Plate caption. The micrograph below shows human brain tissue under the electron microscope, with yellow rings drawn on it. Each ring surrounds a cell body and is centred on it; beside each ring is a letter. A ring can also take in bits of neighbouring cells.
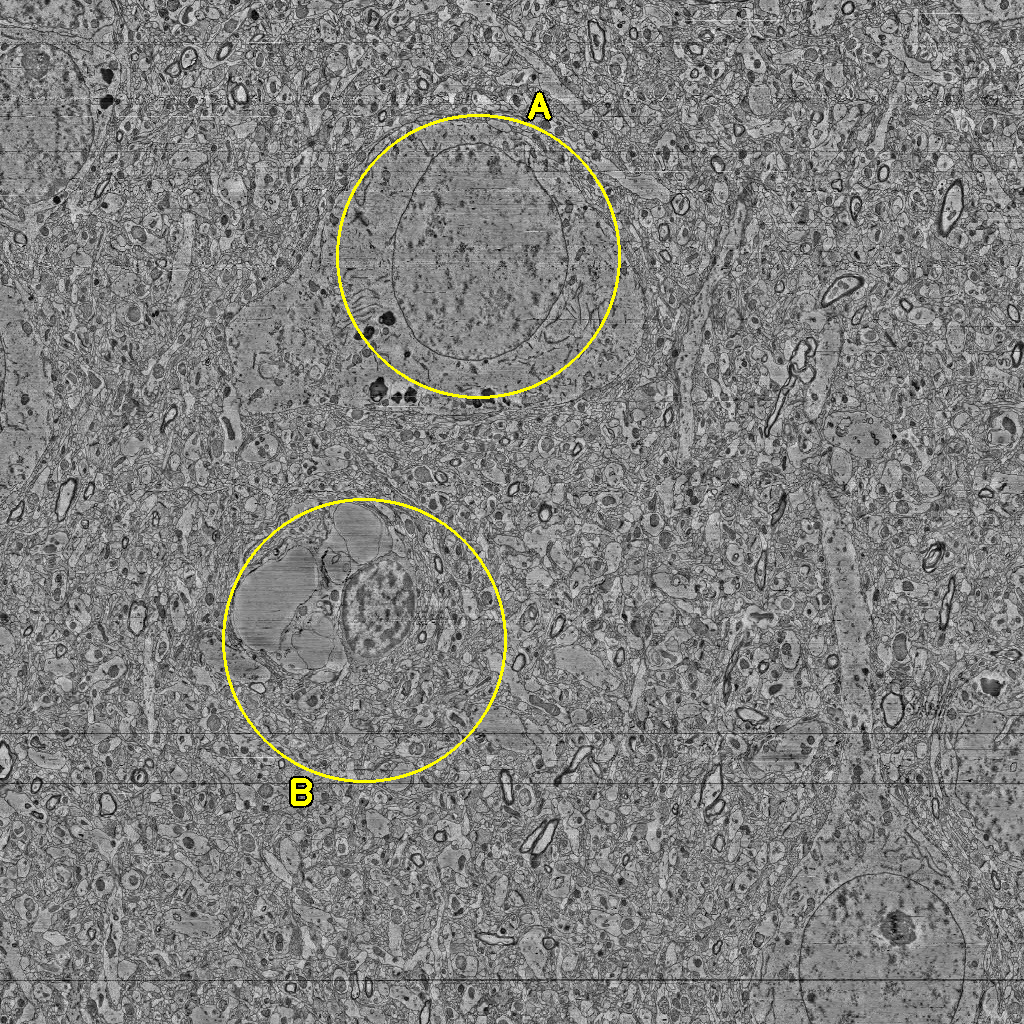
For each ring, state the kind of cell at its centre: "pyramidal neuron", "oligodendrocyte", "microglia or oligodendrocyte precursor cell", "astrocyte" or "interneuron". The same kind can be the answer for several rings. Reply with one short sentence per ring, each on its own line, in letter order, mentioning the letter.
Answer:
Ring A is drawn around a pyramidal neuron.
Ring B is drawn around an oligodendrocyte.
